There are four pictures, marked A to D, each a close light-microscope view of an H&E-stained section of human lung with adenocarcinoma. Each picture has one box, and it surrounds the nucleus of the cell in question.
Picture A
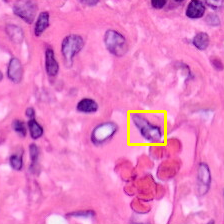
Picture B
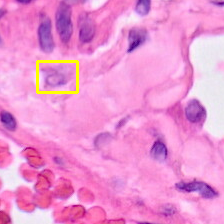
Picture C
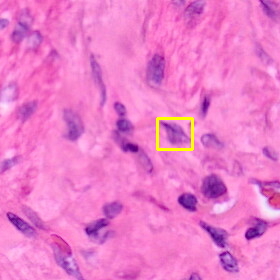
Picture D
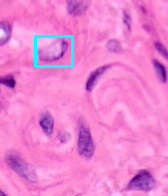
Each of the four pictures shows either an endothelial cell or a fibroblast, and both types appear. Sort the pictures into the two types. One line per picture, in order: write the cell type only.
endothelial cell
fibroblast
fibroblast
endothelial cell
